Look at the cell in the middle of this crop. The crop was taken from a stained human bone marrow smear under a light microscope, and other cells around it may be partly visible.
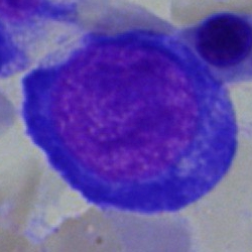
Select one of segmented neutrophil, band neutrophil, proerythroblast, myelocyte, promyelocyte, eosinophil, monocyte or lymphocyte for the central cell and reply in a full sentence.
What sits at the centre of this crop is a proerythroblast.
